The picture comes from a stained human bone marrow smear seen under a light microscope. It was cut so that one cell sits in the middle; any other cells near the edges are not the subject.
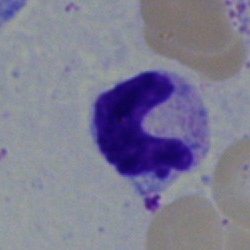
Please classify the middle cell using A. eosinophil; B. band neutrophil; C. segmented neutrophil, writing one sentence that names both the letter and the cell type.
The central cell, a band neutrophil, is correctly identified by option B.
